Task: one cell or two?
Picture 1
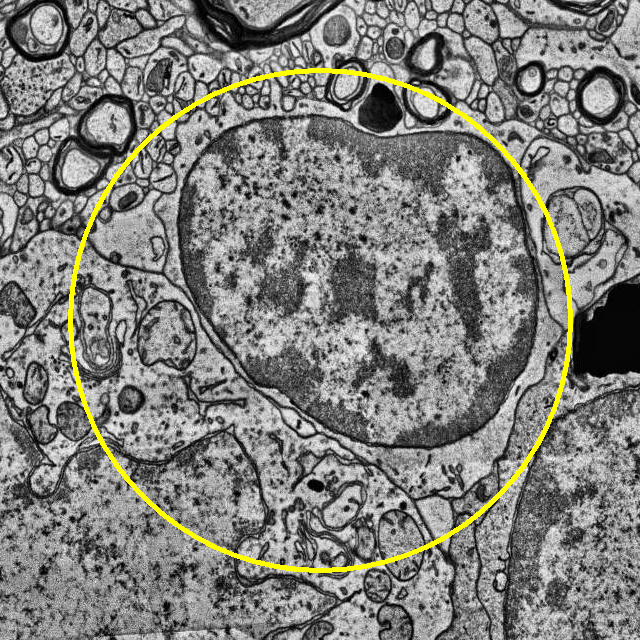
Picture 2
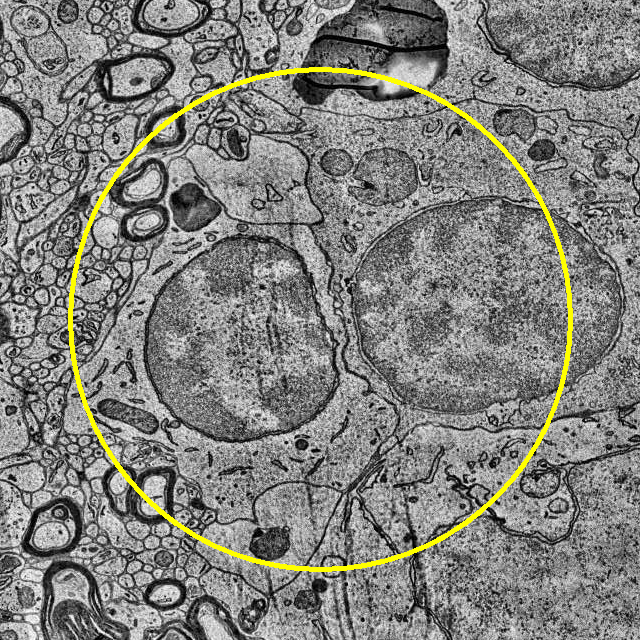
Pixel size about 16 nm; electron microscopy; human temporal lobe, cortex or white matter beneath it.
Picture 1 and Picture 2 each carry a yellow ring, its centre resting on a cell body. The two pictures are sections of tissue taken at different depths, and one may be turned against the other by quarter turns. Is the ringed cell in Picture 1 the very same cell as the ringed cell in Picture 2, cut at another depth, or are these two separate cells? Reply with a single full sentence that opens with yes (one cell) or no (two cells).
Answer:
Yes, the cell marked in each ring is one and the same.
